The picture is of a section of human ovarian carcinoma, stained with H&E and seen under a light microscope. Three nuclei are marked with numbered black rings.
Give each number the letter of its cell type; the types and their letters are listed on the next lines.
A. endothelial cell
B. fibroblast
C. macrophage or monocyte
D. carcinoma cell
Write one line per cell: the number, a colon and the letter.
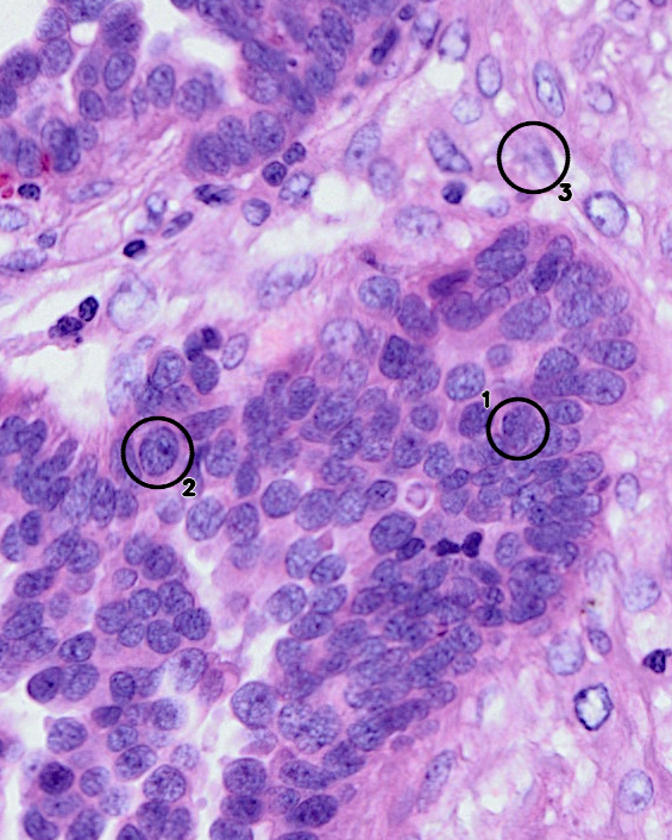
1: D
2: D
3: B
